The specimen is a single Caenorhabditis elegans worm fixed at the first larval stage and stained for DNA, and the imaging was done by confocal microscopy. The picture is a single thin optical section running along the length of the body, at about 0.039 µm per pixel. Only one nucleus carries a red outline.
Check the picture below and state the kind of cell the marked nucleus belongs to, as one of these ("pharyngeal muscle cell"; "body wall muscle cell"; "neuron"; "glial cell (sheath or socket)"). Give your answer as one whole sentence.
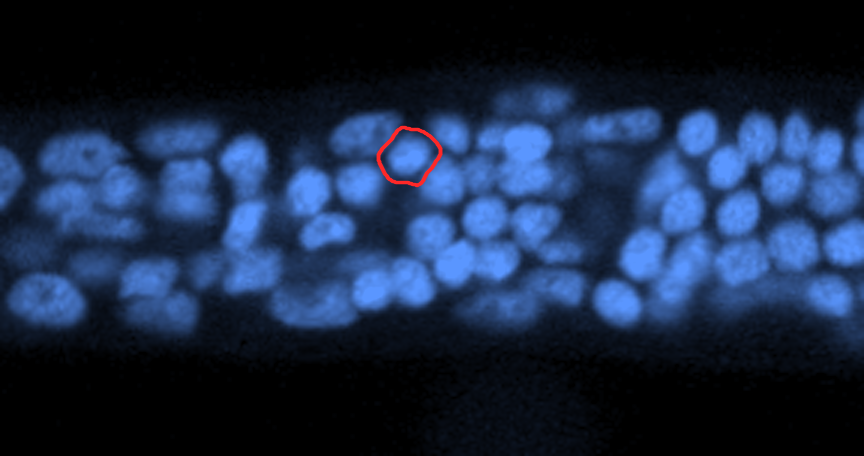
The nucleus comes from a glial cell (sheath or socket).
